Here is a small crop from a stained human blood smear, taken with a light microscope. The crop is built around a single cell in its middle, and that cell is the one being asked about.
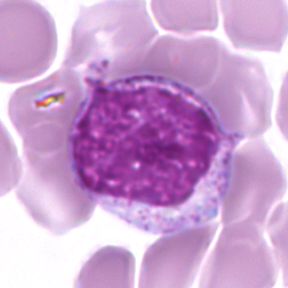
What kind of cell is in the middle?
myelocyte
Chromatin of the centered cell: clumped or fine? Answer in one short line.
Heads up, the chromatin is fine with no coarse clumps in it.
